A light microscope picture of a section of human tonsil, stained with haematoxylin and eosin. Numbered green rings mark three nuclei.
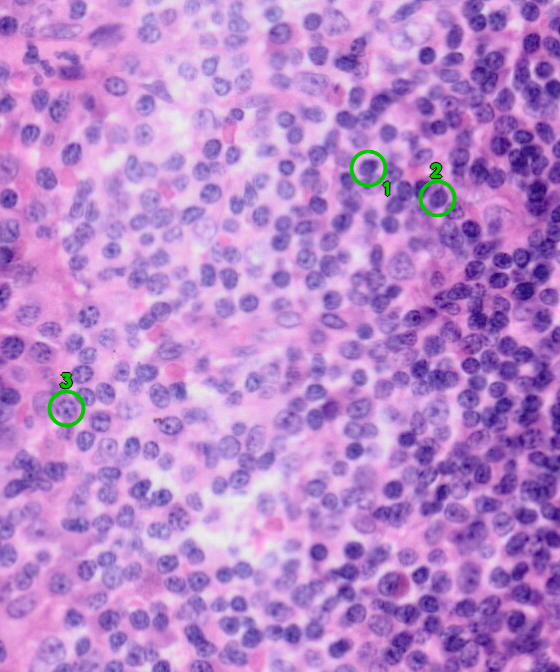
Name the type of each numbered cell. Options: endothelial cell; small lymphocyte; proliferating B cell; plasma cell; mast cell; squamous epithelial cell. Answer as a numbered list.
1. small lymphocyte
2. small lymphocyte
3. plasma cell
